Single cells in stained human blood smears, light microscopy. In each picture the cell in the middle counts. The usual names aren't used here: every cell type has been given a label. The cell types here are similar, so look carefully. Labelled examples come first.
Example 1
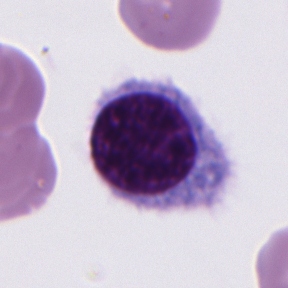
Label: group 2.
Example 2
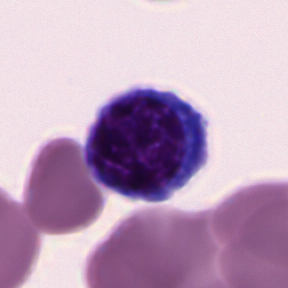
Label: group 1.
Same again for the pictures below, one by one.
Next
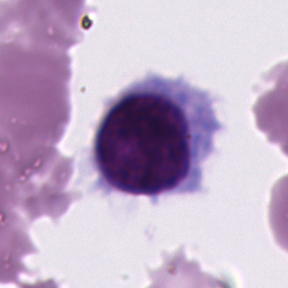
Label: group 2.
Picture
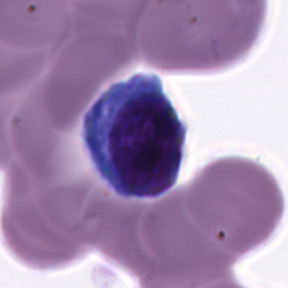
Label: group 1.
